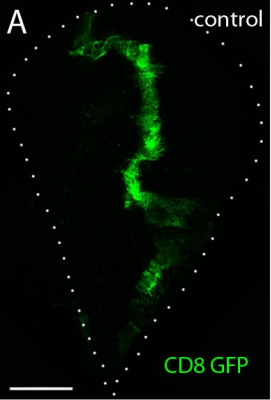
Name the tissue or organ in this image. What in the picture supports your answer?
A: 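A dotted line traces a teardrop-shaped flat organ, broad at the top and tapering toward the bottom. A narrow band of green runs down the middle of the organ.
Wing discs.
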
